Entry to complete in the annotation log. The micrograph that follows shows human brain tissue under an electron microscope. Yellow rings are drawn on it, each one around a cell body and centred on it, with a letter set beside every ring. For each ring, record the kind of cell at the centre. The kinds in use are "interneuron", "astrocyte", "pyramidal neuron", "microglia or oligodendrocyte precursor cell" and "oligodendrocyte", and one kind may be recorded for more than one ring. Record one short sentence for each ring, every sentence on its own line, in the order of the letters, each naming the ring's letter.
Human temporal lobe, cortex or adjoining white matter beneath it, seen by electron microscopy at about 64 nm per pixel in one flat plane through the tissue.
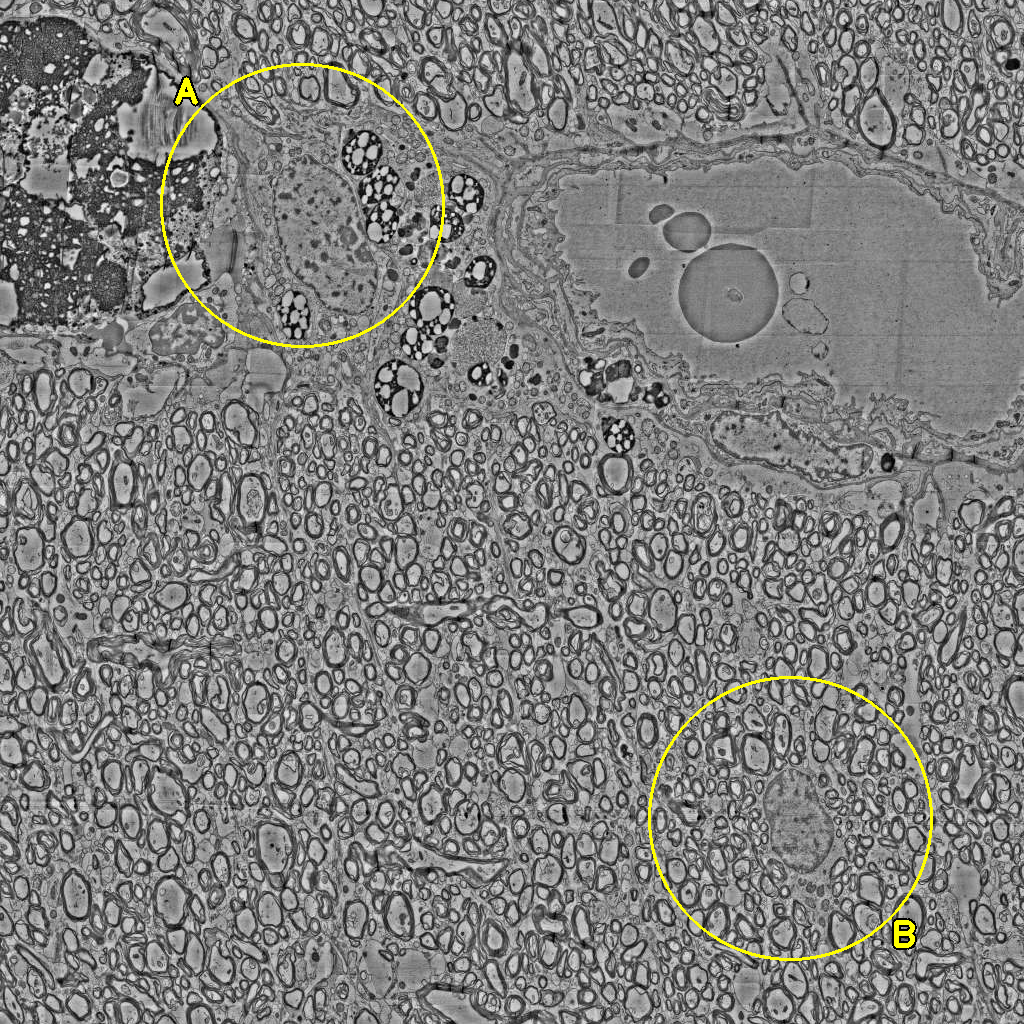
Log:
Ring A is placed around an astrocyte.
Ring B is placed around an oligodendrocyte.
